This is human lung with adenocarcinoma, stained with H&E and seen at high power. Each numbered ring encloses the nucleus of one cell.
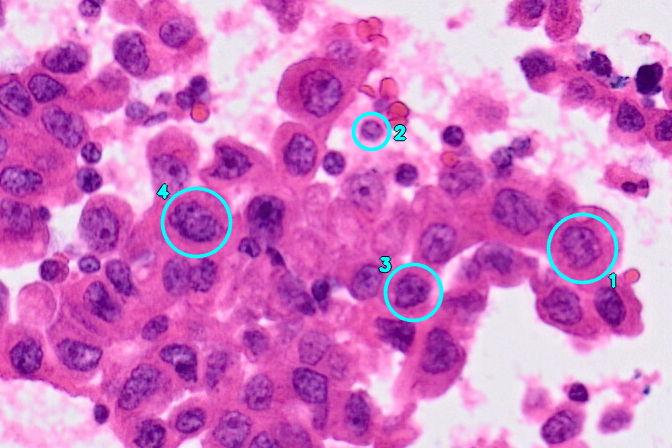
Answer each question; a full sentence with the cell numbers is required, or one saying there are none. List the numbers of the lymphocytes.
Of the numbered cells, only cell 2 is a lymphocyte.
